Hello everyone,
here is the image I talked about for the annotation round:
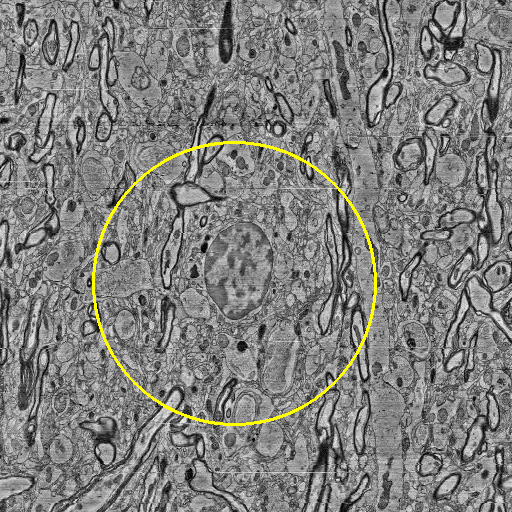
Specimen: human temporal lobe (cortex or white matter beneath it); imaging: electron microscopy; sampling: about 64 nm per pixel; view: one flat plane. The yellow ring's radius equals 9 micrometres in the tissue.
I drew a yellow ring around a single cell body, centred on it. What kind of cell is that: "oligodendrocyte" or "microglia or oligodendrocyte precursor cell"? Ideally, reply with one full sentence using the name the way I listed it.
The cell your yellow ring is centred on is a microglial cell or oligodendrocyte precursor cell, going by your list.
